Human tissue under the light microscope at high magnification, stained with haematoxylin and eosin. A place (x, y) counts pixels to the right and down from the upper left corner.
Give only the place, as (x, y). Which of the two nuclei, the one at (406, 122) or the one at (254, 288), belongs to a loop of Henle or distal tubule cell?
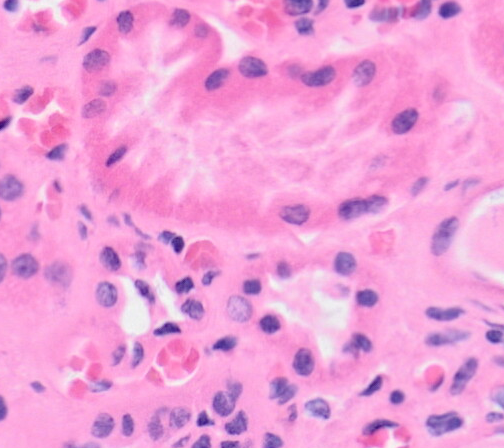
(254, 288)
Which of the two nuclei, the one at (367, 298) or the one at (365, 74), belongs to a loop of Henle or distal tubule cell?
(367, 298)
